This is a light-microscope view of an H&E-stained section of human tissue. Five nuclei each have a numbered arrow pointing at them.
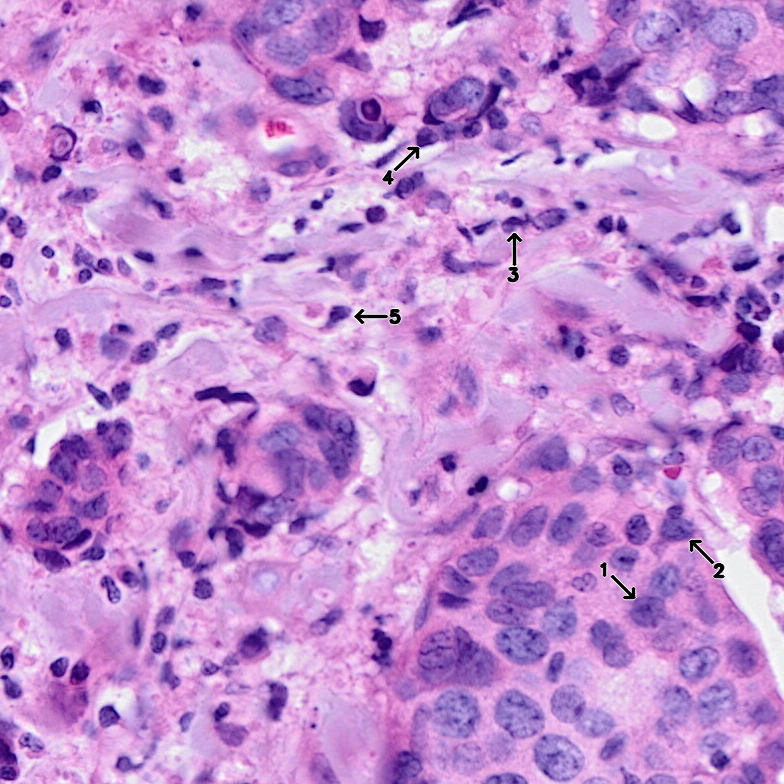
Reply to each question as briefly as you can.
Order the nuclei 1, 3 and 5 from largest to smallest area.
1, 5, 3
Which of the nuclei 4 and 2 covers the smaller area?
4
